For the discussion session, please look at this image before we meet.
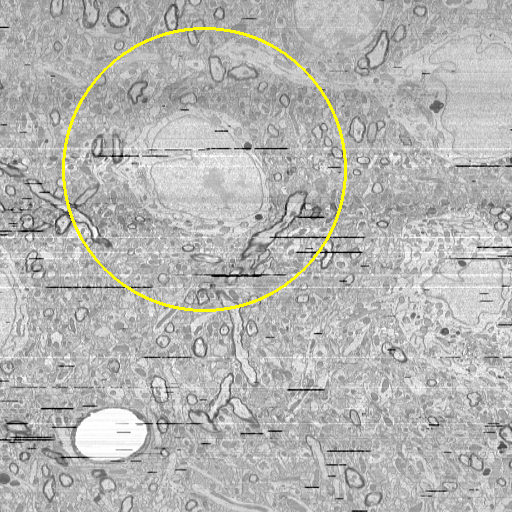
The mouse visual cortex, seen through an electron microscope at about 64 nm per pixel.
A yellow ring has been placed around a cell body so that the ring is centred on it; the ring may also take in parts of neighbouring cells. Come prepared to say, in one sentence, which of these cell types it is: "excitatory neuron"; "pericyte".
The cell centred in the ring is an excitatory neuron.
